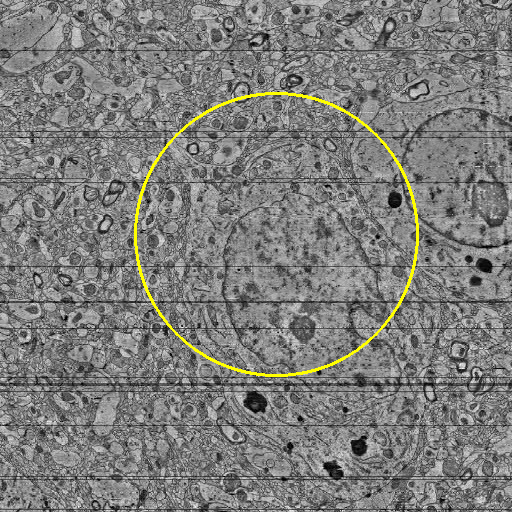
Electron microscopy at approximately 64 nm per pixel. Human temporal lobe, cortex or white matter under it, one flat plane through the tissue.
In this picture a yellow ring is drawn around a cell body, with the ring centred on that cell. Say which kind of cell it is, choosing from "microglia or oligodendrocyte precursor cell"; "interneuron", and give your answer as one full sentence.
Here it is an interneuron that sits at the centre of the drawn yellow ring.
